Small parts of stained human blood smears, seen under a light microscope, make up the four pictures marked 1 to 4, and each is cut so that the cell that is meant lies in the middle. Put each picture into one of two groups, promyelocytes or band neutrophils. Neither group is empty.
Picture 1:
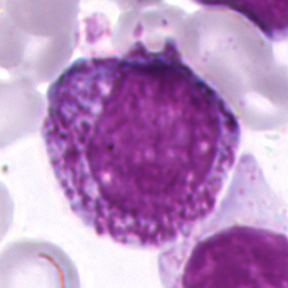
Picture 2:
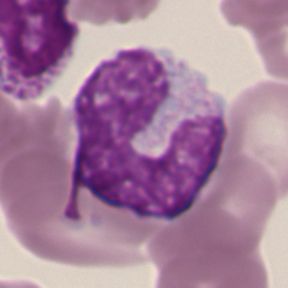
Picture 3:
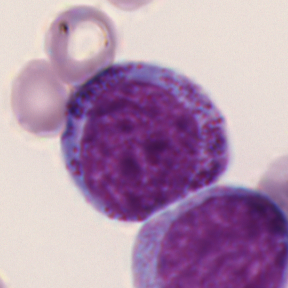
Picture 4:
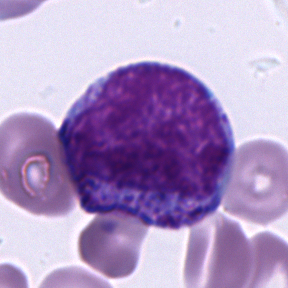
1: promyelocyte
2: band neutrophil
3: promyelocyte
4: promyelocyte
